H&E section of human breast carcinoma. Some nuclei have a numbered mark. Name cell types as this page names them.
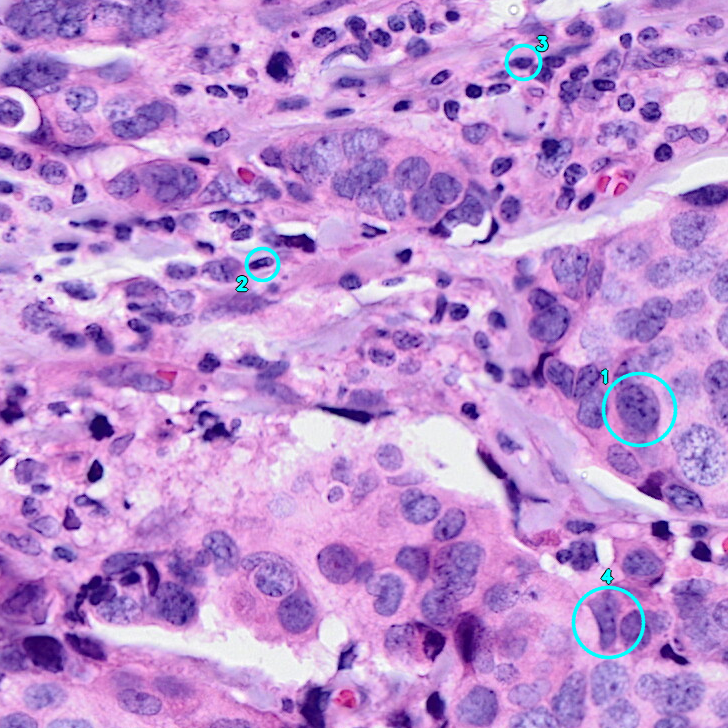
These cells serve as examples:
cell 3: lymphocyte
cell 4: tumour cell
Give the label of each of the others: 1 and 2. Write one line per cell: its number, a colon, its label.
1: tumour cell
2: lymphocyte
